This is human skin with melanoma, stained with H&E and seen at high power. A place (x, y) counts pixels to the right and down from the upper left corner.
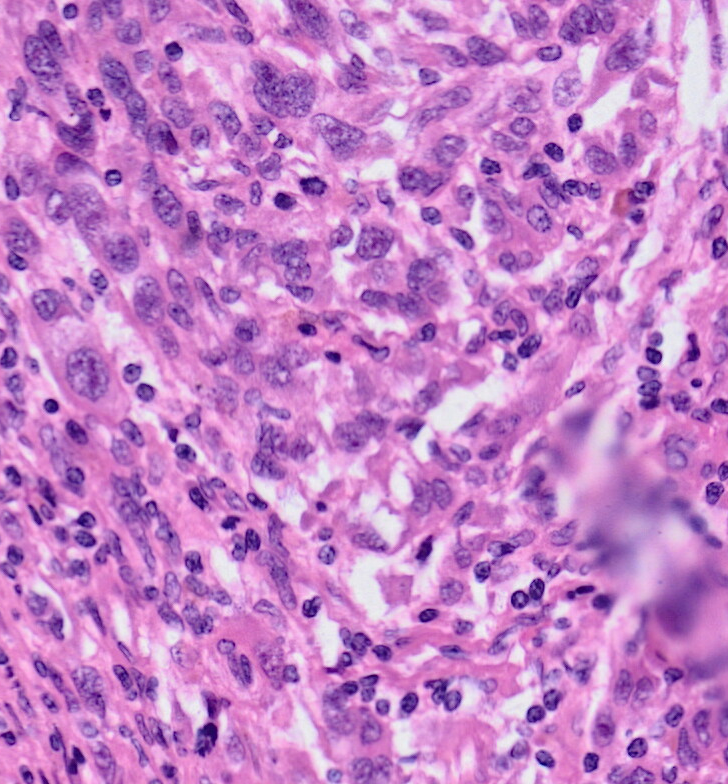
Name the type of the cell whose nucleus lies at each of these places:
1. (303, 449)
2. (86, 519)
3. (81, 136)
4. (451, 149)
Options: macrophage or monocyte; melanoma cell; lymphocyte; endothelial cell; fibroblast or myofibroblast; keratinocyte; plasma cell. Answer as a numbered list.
1. melanoma cell
2. lymphocyte
3. melanoma cell
4. melanoma cell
